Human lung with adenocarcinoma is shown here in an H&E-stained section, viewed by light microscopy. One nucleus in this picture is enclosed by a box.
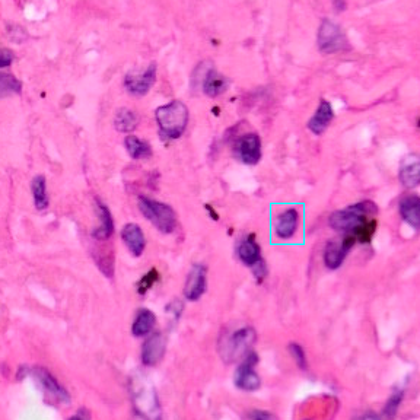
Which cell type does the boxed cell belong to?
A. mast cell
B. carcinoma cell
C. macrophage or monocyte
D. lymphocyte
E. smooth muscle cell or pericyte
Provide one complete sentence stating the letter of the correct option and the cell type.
Option A, which has the boxed cell as a mast cell, is the correct choice.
